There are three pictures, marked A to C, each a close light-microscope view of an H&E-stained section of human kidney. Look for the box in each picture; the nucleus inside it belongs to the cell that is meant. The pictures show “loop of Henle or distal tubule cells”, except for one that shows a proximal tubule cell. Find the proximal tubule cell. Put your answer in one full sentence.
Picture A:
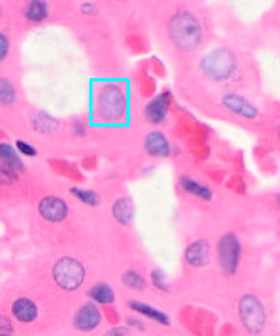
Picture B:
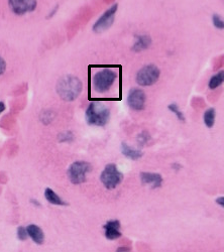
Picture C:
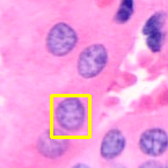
The picture with the proximal tubule cell is C.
